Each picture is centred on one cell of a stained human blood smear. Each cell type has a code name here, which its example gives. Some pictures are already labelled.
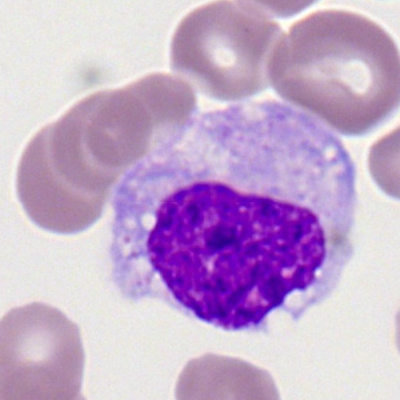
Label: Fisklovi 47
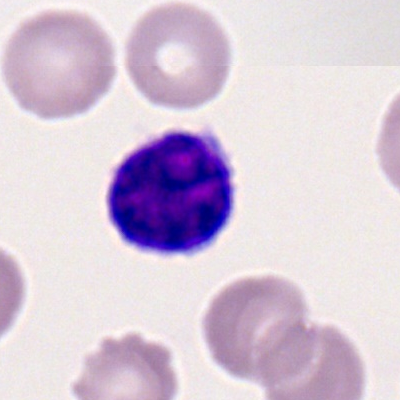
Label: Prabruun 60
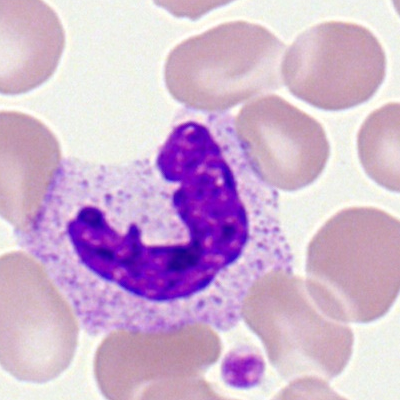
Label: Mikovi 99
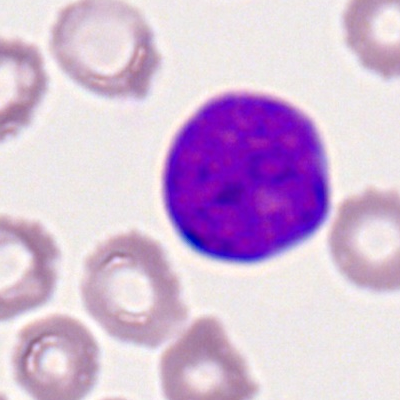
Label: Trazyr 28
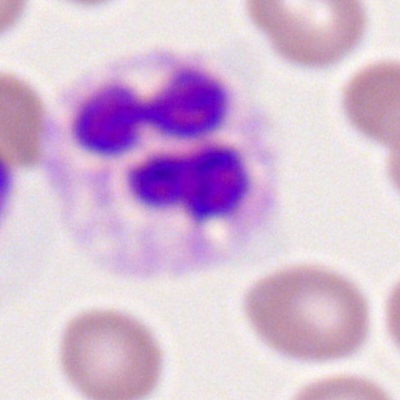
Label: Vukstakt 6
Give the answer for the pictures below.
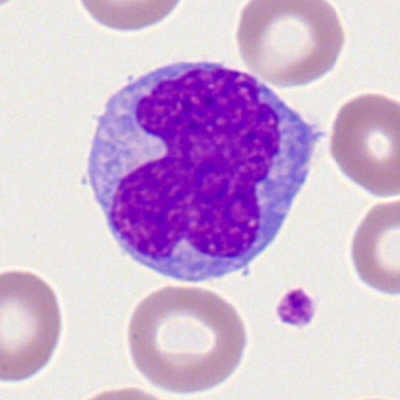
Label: Fisklovi 47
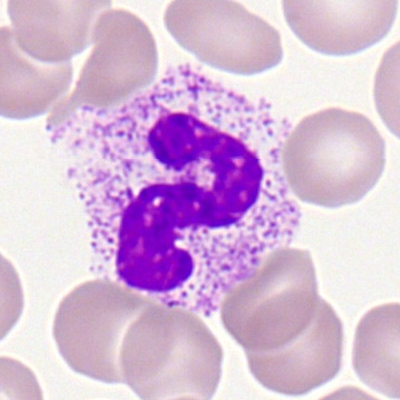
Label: Mikovi 99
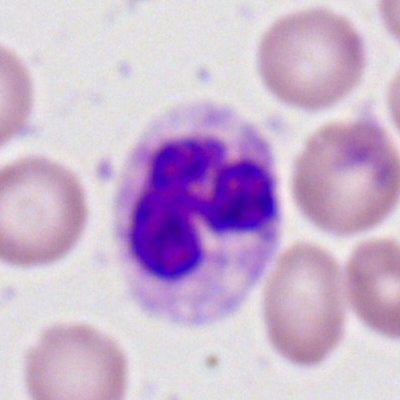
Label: Vukstakt 6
